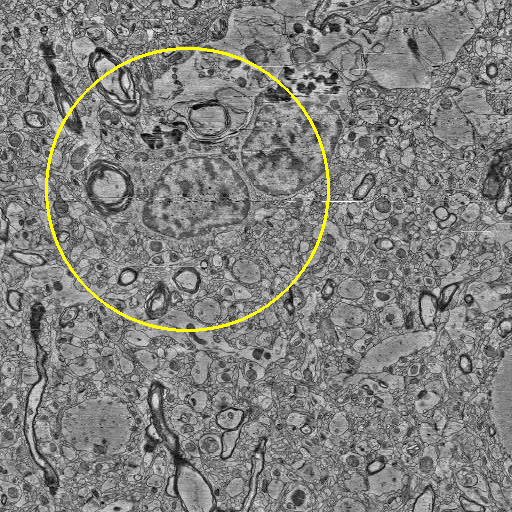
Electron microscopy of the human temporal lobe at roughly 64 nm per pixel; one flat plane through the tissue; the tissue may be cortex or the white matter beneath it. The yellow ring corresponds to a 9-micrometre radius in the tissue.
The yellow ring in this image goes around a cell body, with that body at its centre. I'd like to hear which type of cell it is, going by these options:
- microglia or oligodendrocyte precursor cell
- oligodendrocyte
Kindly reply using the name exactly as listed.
oligodendrocyte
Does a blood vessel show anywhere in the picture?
Yes, a blood vessel is present in this picture.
